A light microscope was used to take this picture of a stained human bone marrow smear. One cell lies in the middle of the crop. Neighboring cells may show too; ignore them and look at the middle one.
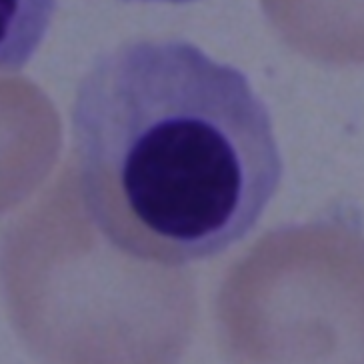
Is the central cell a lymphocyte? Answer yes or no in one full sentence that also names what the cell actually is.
No, the cell in the middle is not a lymphocyte but a normoblast.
